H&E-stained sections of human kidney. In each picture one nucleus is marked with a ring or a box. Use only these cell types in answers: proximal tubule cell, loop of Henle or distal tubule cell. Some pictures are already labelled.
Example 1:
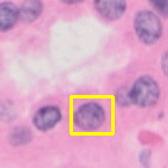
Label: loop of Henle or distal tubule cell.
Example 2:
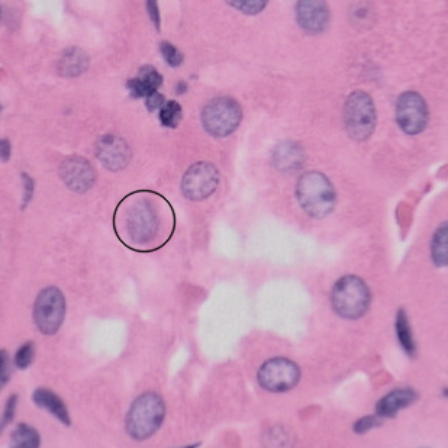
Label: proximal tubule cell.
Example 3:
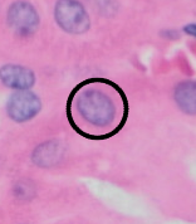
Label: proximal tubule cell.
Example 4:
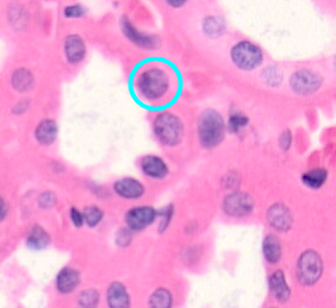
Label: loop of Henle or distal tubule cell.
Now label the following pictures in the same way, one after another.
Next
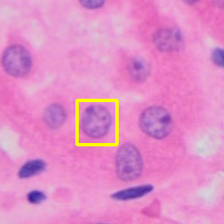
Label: proximal tubule cell.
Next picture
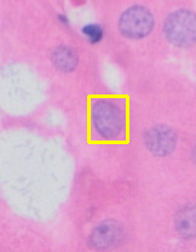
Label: proximal tubule cell.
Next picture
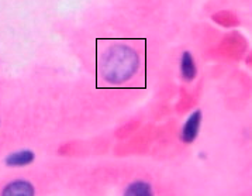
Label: proximal tubule cell.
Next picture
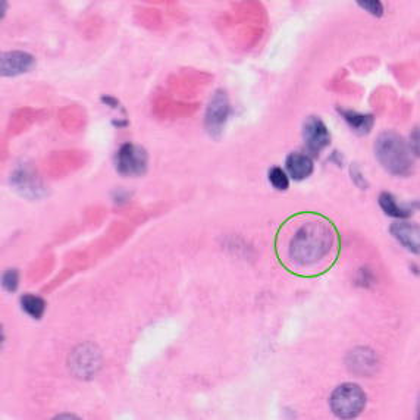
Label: proximal tubule cell.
